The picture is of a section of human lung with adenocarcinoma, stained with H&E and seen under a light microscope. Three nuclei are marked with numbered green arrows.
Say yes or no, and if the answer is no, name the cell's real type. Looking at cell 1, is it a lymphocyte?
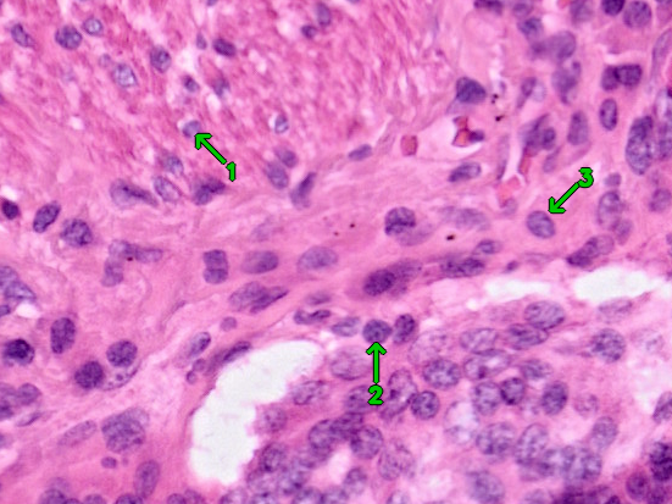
No, it is a smooth muscle cell or pericyte.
